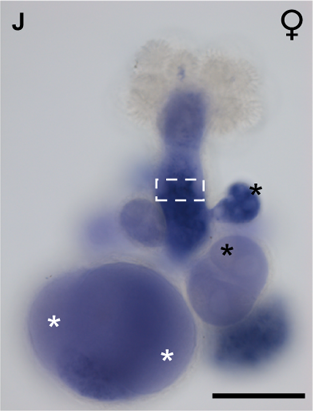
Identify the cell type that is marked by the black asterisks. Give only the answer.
Growing oocytes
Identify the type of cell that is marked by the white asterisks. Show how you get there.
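Fully-grown oocytes. It is the largest rounded body attached to the polyp.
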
